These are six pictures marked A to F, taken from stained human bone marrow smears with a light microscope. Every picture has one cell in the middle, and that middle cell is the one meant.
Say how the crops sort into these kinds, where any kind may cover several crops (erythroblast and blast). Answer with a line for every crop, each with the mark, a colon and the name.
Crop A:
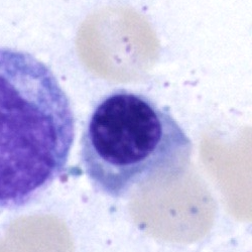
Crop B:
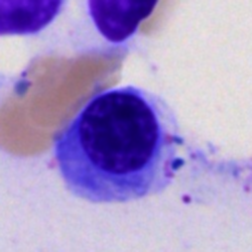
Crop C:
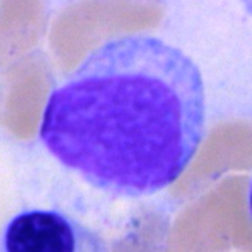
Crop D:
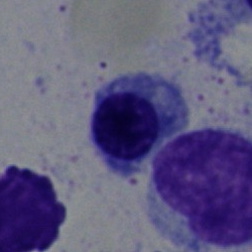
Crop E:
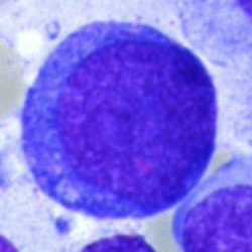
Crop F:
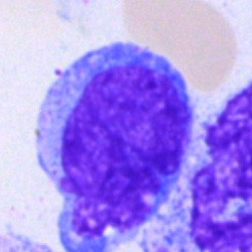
A: erythroblast
B: erythroblast
C: blast
D: erythroblast
E: blast
F: blast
